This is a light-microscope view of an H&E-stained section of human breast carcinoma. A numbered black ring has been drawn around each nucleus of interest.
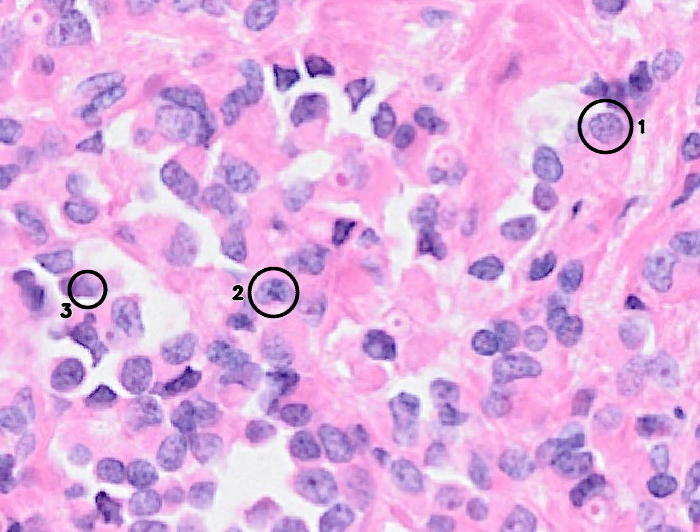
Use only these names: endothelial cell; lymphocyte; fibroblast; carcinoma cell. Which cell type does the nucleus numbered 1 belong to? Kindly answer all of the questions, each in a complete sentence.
Numbered cell 1 is a carcinoma cell in this tissue section.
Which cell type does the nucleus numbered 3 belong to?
The cell referenced by the number 3 is a carcinoma cell in this field.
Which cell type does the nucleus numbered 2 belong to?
The cell carrying label 2 is identified as an endothelial cell.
